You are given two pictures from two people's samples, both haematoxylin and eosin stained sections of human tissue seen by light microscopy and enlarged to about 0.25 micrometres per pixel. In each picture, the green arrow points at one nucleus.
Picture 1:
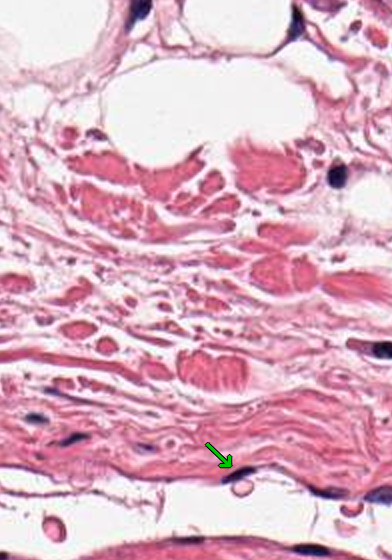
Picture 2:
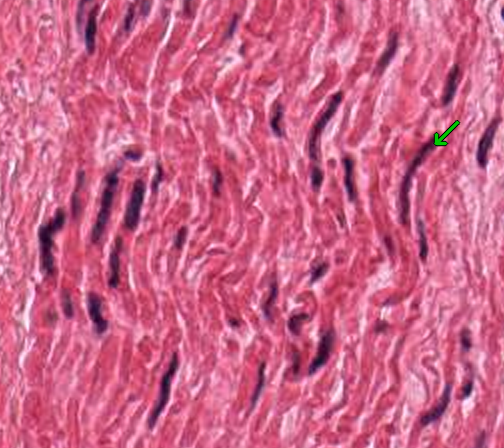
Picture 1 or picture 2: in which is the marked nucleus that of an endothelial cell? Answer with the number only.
1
